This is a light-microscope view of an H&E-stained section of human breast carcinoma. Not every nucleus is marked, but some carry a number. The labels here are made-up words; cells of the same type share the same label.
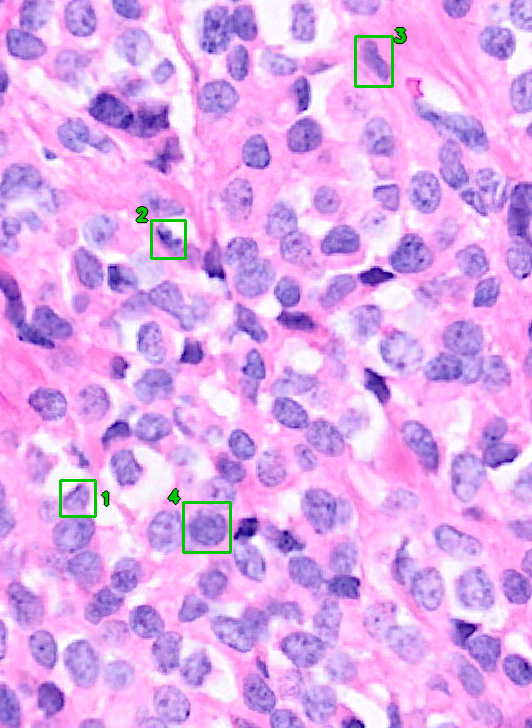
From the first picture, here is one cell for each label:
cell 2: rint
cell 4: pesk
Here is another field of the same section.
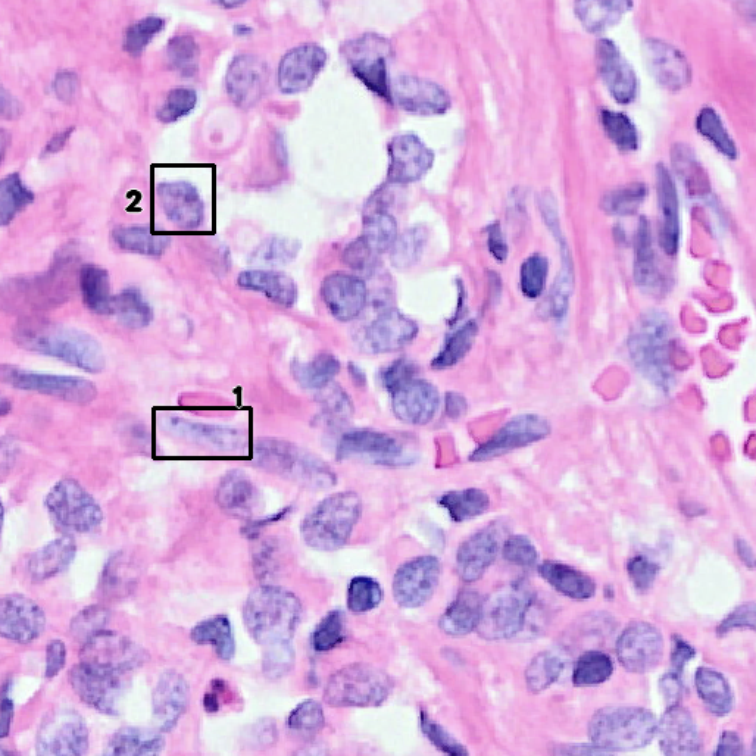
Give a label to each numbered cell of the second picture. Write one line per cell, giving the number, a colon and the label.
1: rint
2: pesk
